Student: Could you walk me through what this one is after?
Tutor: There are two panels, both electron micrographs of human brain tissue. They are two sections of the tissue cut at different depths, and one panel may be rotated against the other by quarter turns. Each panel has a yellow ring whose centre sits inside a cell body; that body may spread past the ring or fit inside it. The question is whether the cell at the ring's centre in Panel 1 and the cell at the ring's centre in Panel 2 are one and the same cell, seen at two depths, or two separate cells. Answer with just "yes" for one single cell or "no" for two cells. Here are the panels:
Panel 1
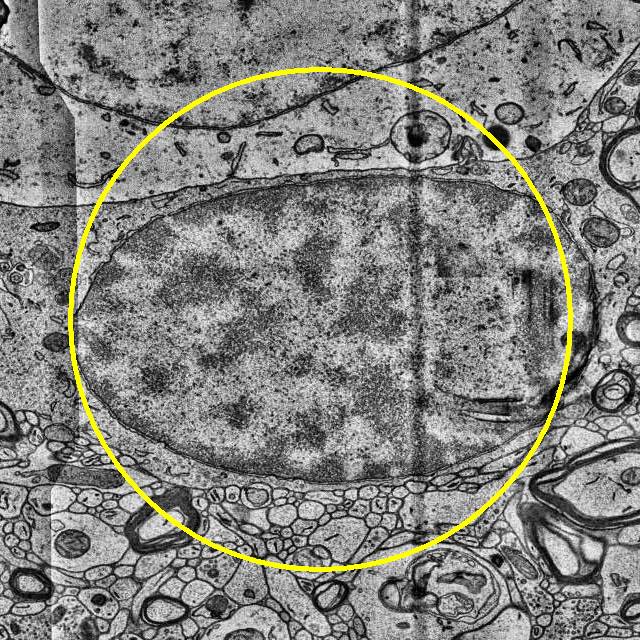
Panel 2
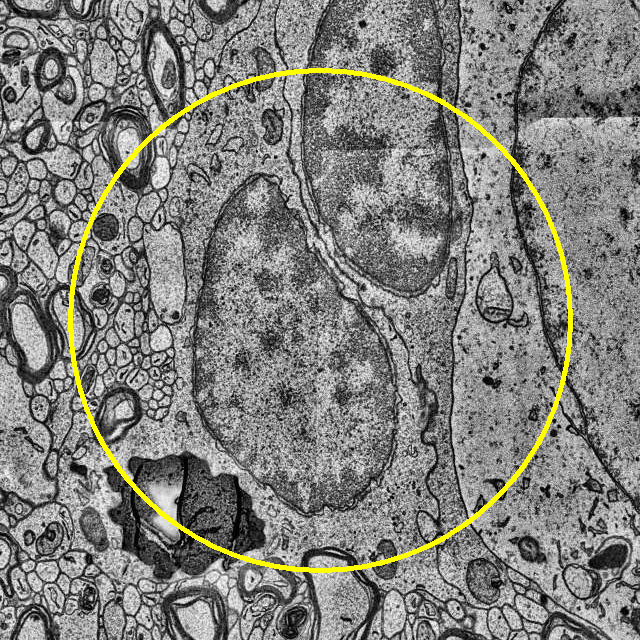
yes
